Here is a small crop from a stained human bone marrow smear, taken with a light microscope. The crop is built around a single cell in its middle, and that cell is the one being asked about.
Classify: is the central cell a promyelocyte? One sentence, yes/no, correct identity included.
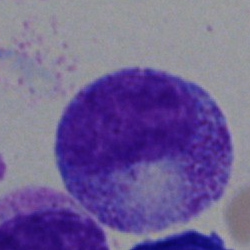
Yes, what sits in the middle of the crop is a promyelocyte.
